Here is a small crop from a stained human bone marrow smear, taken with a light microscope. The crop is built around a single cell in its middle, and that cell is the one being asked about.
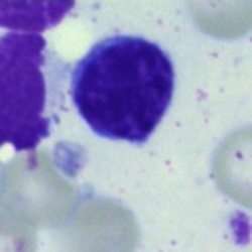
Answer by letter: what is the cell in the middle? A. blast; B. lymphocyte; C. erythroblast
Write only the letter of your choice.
B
